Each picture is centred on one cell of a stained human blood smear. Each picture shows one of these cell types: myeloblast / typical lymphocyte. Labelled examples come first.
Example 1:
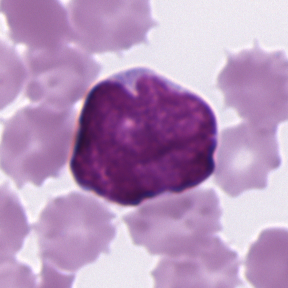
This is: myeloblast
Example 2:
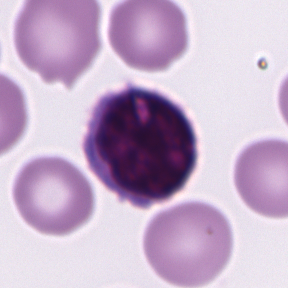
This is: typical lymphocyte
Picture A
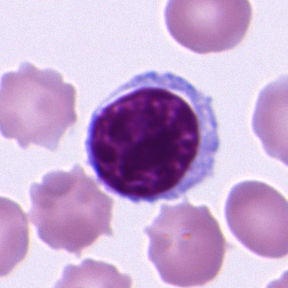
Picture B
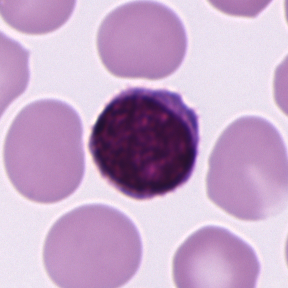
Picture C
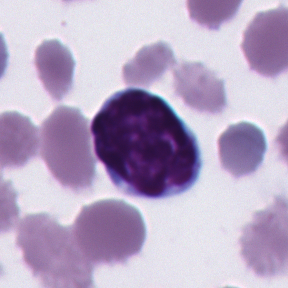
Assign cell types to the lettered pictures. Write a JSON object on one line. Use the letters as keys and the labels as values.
{"A": "typical lymphocyte", "B": "typical lymphocyte", "C": "typical lymphocyte"}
